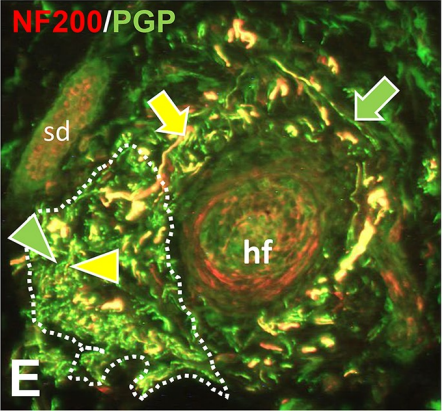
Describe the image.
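A hair follicle is cut in cross section in the centre, seen as concentric rings of tissue. Around it the dermis is crowded with green and yellow nerve fibers, some thick and wavy, others very thin. On the left, inside a dotted outline, a large patch holds a very dense mesh of extremely fine fibers, many of them yellow. Outside this patch the fibers are fewer and more distinct.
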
